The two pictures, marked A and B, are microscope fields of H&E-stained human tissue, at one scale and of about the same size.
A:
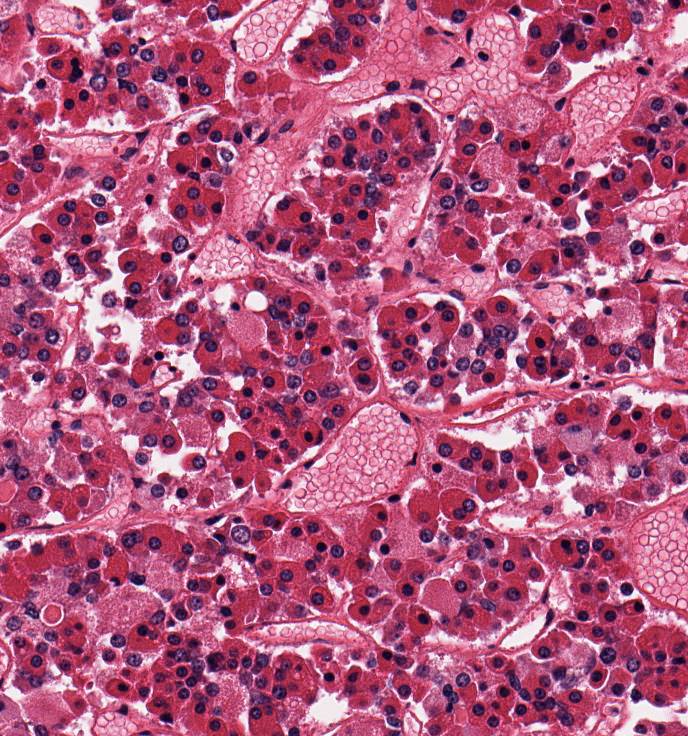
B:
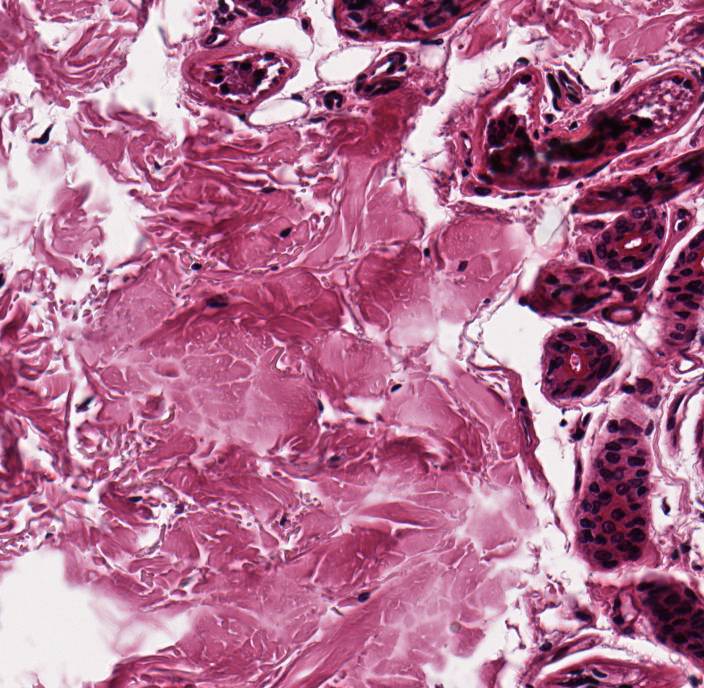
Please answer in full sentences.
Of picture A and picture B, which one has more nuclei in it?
The larger number of nuclei is in picture A.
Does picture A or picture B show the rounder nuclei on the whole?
It is picture A whose nuclei are the rounder.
